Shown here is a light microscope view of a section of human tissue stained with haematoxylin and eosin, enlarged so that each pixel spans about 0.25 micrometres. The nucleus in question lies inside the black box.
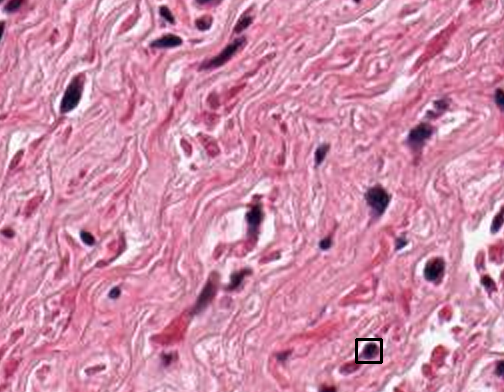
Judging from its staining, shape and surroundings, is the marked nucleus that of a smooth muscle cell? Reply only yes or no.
no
